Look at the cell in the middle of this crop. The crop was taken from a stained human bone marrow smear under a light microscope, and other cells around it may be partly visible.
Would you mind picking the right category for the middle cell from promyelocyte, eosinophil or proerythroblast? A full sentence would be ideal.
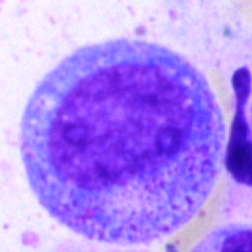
At the crop's centre, the cell is a promyelocyte.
